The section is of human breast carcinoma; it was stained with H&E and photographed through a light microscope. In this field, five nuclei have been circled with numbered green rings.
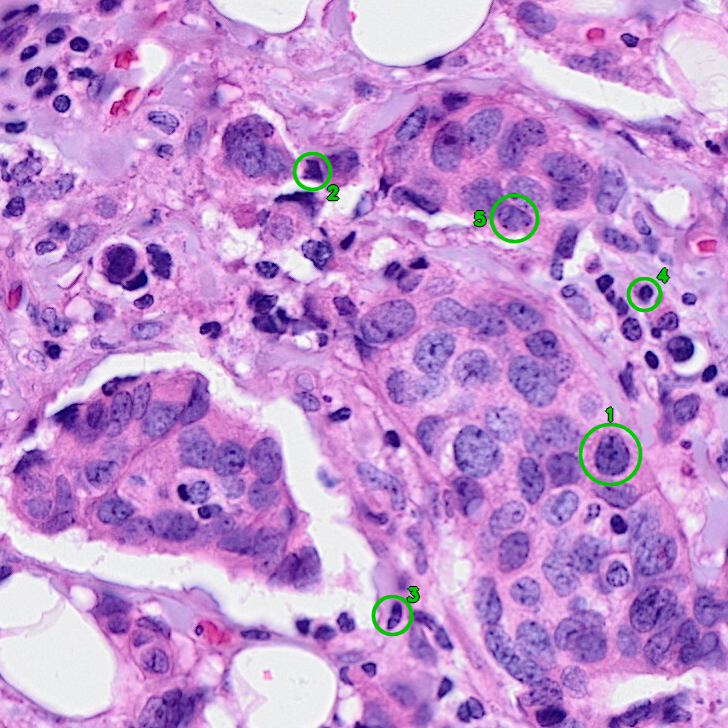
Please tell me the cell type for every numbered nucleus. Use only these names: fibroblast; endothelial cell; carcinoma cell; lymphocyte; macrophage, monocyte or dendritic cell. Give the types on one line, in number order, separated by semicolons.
carcinoma cell; carcinoma cell; lymphocyte; lymphocyte; carcinoma cell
